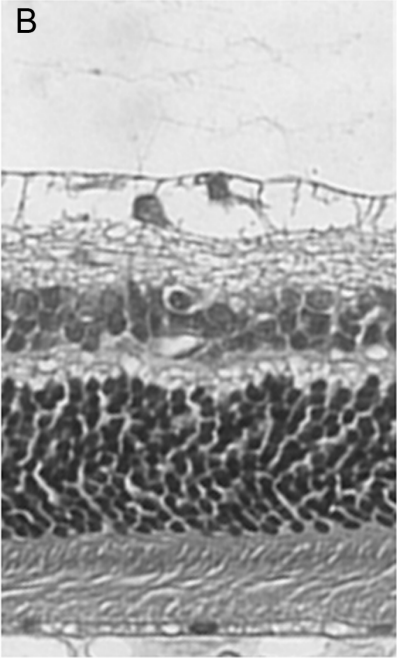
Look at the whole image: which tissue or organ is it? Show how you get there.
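A band of several rows of nuclei lies above a thick band of densely packed dark nuclei. A striated layer of slender parallel elements lies at the bottom.
Answer: retinas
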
